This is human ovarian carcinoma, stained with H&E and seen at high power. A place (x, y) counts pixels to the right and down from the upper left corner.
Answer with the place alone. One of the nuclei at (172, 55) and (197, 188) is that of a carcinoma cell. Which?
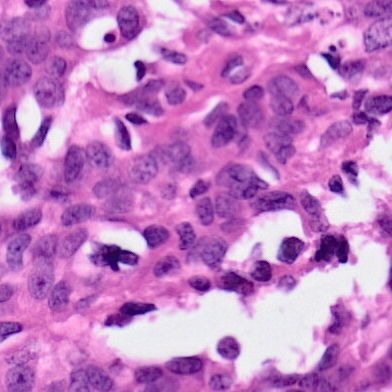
(197, 188)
